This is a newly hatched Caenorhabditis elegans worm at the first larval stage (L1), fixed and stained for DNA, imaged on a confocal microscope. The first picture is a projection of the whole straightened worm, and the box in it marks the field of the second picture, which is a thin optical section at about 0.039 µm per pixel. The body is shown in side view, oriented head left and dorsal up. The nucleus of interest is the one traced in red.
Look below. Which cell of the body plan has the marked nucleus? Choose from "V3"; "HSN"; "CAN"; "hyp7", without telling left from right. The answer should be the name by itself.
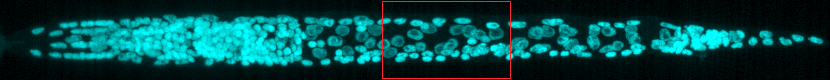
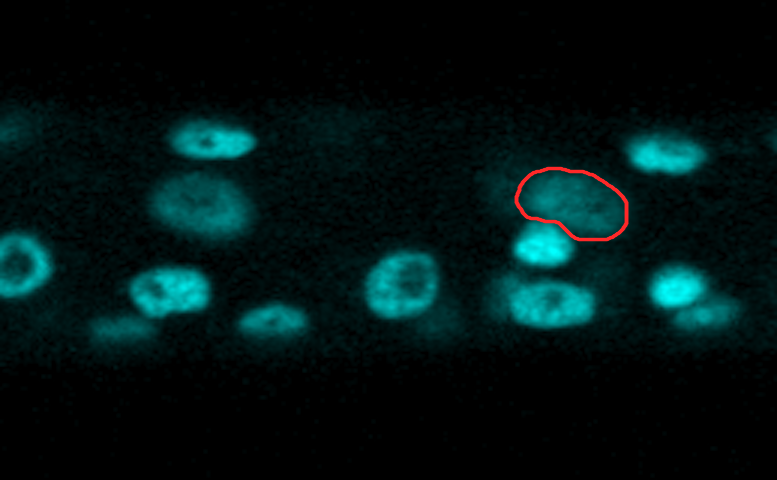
hyp7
